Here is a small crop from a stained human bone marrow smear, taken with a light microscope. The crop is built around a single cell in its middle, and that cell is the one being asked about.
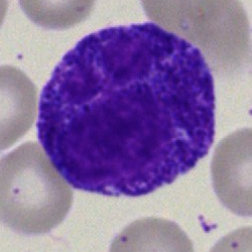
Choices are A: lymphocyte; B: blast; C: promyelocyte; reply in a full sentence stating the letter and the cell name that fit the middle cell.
The cell at the centre is a promyelocyte, and option C accordingly is correct.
